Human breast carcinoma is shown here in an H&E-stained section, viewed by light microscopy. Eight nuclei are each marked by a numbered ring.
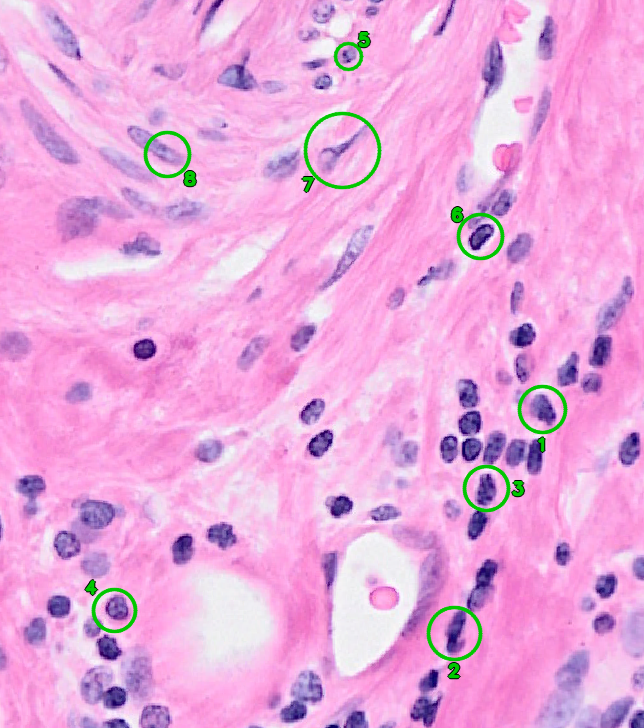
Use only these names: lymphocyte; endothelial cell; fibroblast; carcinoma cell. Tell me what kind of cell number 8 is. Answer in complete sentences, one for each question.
Nucleus 8 in this section belongs to an endothelial cell.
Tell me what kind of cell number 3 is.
Of the numbered cells, the one labelled 3 is a lymphocyte.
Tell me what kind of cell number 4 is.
Regarding cell 4, this one is a lymphocyte.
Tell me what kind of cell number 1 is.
The nucleus labeled 1 belongs to a lymphocyte.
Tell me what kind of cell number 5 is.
Numbered cell 5 is an endothelial cell in this tissue section.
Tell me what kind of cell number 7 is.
The cell referenced by the number 7 is a fibroblast in this field.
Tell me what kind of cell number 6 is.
The cell assigned the number 6 is a lymphocyte.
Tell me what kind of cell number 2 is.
Recognised here as a lymphocyte is the cell numbered 2.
